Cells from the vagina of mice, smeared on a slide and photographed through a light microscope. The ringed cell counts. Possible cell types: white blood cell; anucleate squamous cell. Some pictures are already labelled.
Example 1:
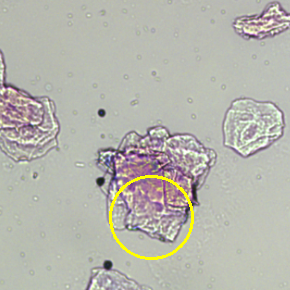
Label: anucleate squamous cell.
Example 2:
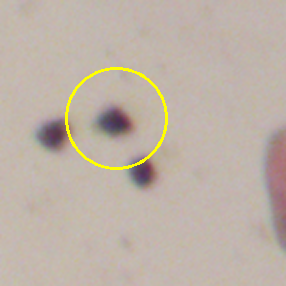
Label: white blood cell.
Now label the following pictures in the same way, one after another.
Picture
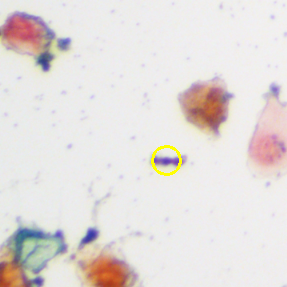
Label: white blood cell.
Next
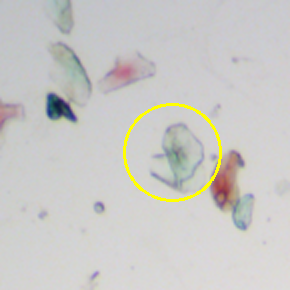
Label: anucleate squamous cell.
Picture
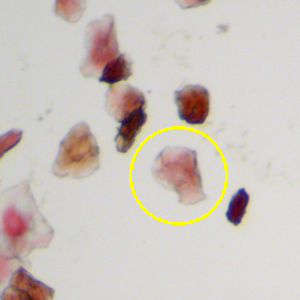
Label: anucleate squamous cell.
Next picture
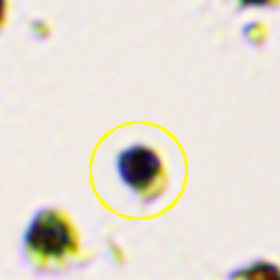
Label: white blood cell.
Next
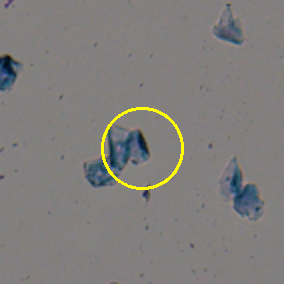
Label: anucleate squamous cell.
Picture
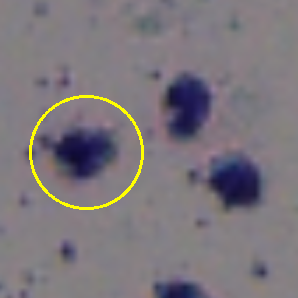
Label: white blood cell.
